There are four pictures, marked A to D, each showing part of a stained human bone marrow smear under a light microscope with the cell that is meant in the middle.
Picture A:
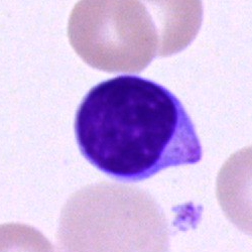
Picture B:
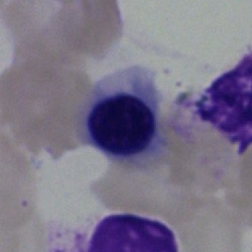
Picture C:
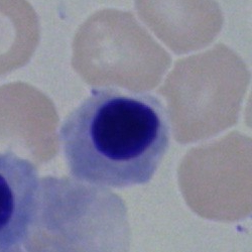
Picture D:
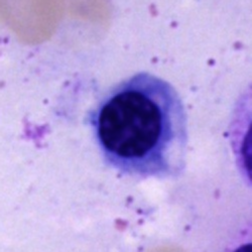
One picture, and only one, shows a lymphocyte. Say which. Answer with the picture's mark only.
A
